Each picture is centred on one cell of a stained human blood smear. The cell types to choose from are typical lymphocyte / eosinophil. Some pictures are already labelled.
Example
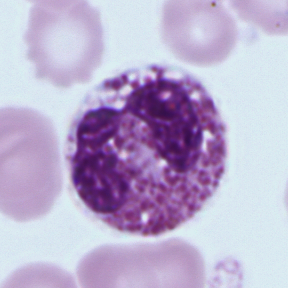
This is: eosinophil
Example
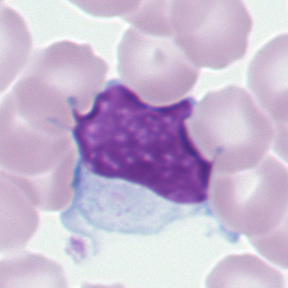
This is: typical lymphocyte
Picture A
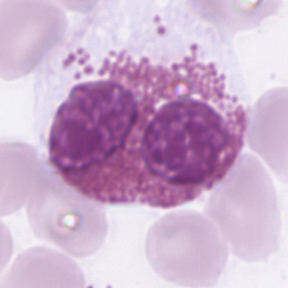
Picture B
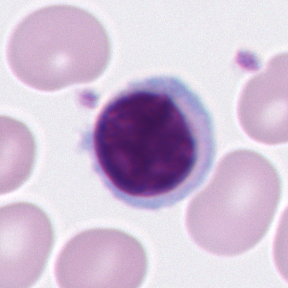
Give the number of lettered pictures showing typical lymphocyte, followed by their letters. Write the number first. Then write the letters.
Count: 1 (B)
